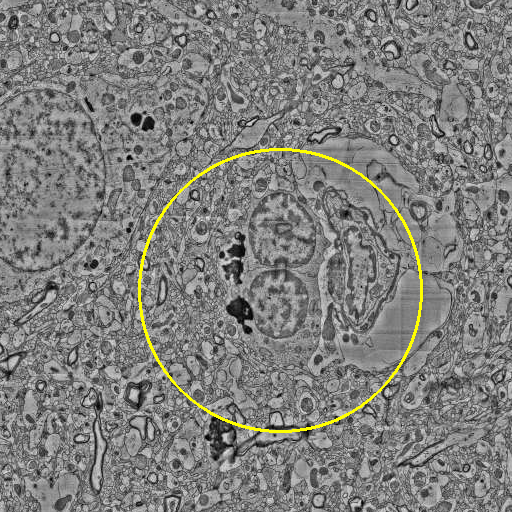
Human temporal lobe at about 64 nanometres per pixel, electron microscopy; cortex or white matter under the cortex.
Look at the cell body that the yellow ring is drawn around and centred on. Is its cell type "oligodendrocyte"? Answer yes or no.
yes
